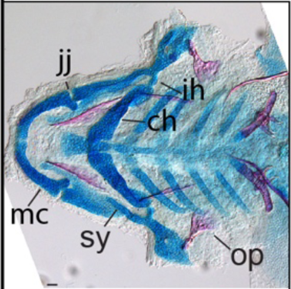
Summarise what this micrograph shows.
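The lower jaw cartilage forms a U-shaped arch at the front, and behind it a V-shaped pair of hyoid cartilages points forward. Behind these lie a series of paired, rod-like blue gill arch cartilages, arranged roughly in parallel on both sides of the midline. Slender purple-red bones lie along the sides of the cartilages, and a fan-shaped purple-red bone sits at each posterior side of the head. Small gaps in the blue cartilage mark the joints between the elements.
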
